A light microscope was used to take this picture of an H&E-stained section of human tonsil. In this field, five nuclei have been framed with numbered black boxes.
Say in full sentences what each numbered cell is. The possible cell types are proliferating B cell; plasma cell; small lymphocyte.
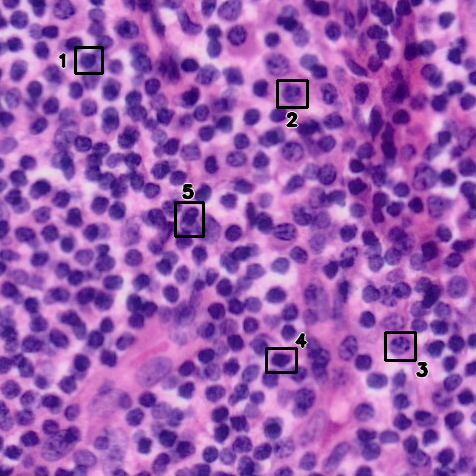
Cells 1, 4 and 5 are small lymphocytes. Cells 2 and 3 are plasma cells.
